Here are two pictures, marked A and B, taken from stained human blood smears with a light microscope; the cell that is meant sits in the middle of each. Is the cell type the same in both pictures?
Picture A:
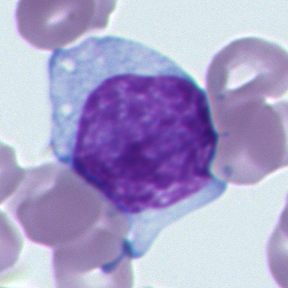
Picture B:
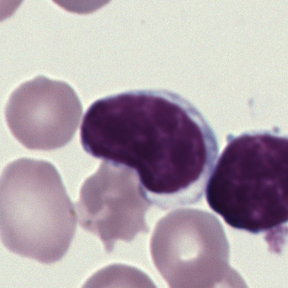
no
